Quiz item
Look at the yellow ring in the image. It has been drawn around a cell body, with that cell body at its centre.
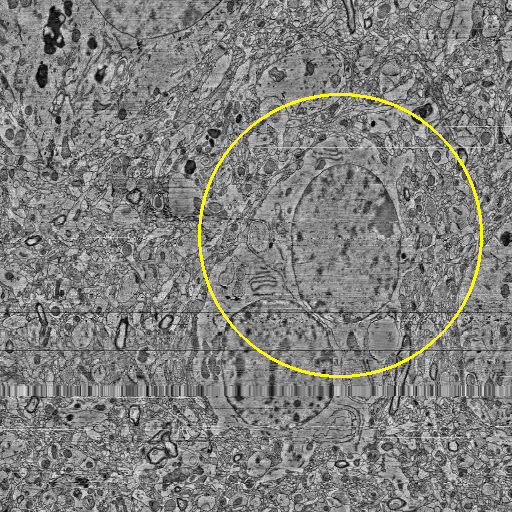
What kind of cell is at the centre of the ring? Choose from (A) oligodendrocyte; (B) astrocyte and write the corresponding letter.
B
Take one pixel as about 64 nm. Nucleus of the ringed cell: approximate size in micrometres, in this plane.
In this plane, approximately 10 by 7 micrometers.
